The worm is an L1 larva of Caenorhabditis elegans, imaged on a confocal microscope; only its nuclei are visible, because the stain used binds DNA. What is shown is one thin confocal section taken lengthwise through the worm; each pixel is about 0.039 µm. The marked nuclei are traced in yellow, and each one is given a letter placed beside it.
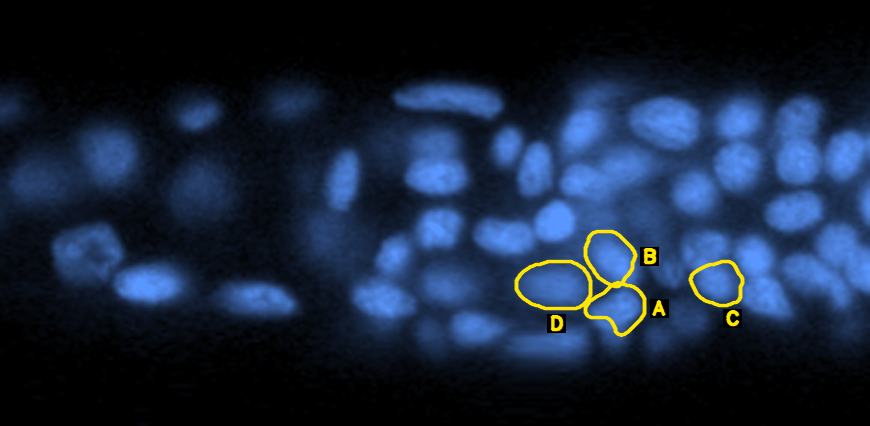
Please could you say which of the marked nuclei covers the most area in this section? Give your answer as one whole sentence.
Of the marked nuclei, D is the biggest in this section.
